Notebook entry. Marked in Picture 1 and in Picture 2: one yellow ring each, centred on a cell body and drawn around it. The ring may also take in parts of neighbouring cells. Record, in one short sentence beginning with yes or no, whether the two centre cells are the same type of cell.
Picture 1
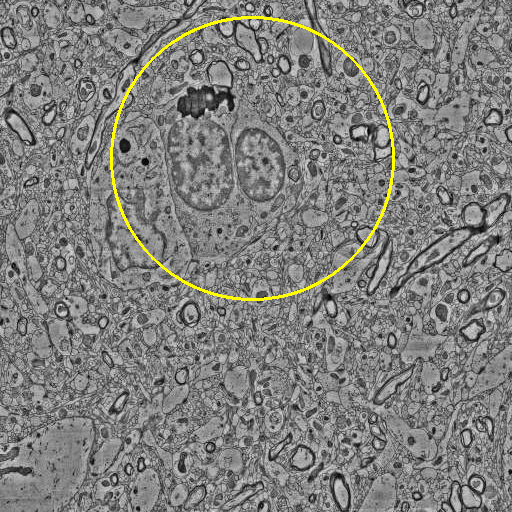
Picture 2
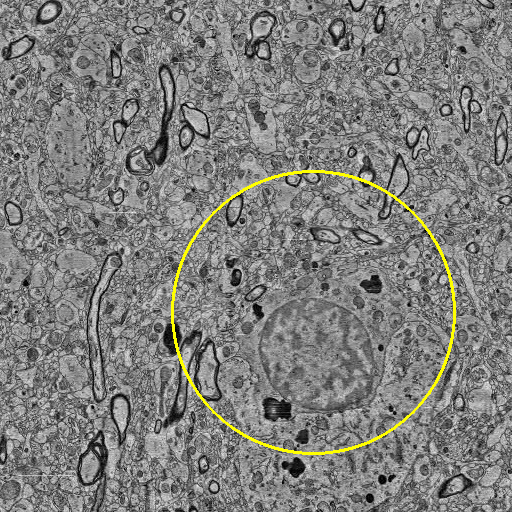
Yes, both are the same type of cell.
